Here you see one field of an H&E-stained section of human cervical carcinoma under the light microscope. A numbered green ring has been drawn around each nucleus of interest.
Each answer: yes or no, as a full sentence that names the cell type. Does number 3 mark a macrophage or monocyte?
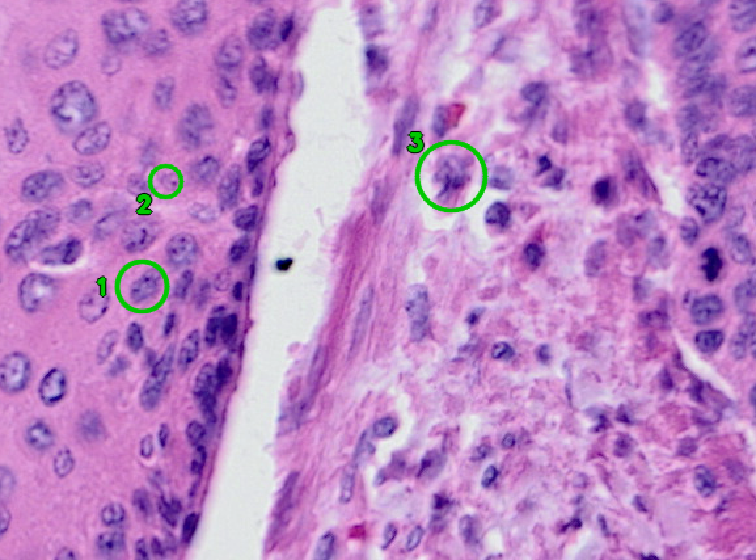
Yes, the cell pointed out as number 3 is a macrophage or monocyte.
